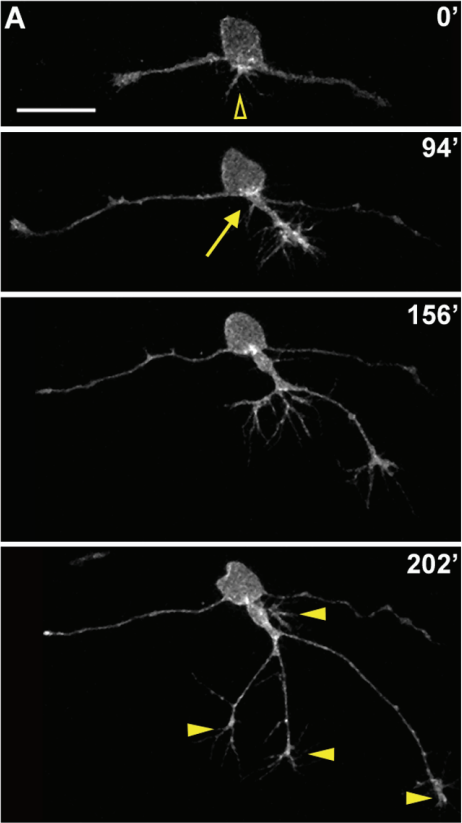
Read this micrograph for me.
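A single neuron followed over time: a rounded cell body sits on a long, thin process running horizontally in both directions. From beneath the cell body a new process sprouts, first as a tuft of short spikes, then grows downward and branches repeatedly, each branch ending in a small spiky growth cone.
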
